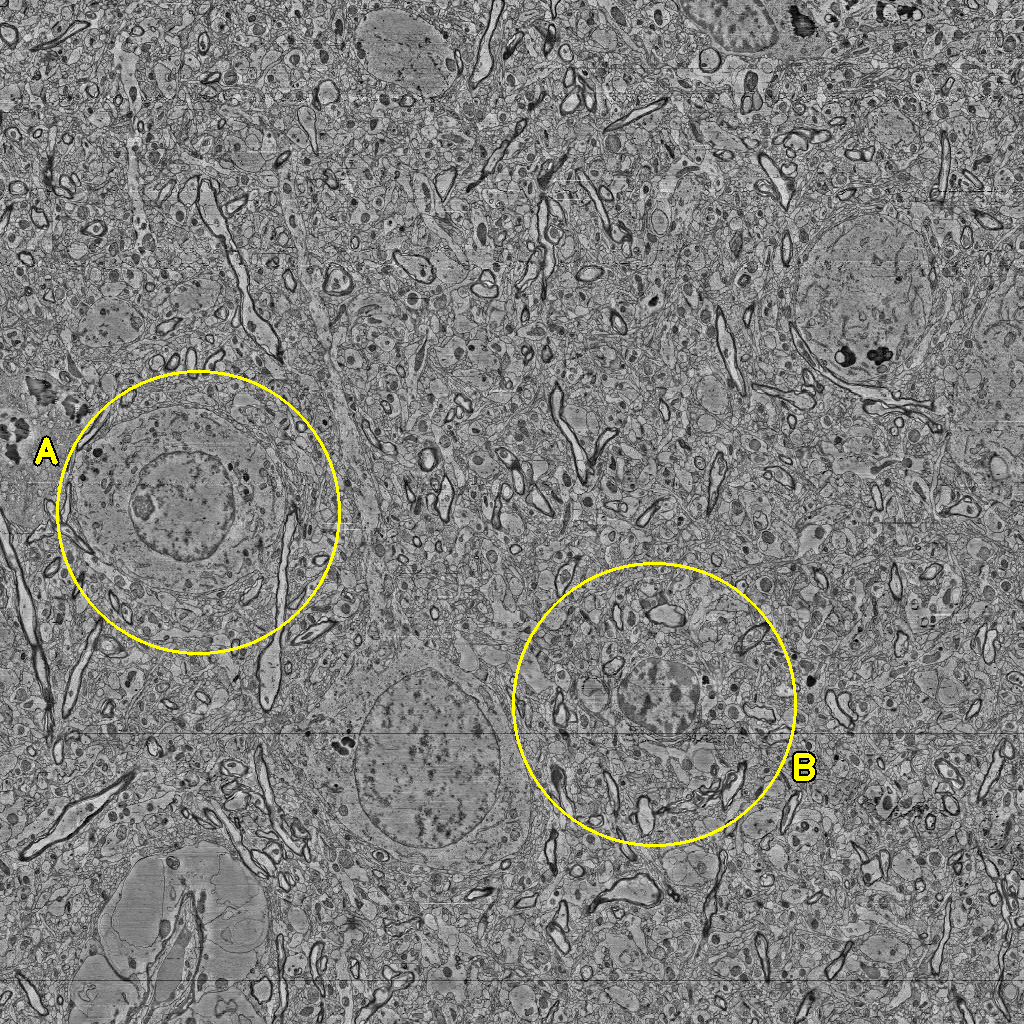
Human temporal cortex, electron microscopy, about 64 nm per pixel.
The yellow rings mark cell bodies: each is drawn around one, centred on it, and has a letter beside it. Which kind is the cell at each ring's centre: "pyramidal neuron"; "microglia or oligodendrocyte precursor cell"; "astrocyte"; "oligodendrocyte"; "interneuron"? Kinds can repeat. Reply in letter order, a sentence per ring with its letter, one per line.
At the centre of ring A lies a pyramidal neuron.
At the centre of ring B lies a microglial cell or oligodendrocyte precursor cell.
